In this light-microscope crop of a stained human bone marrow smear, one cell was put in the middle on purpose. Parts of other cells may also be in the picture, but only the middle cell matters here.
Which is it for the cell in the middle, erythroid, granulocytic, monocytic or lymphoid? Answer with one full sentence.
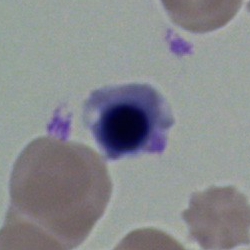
The cell in the middle of the crop is considered part of the erythroid lineage.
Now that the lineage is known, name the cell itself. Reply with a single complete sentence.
The cell at the central position in this crop is an erythroblast.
